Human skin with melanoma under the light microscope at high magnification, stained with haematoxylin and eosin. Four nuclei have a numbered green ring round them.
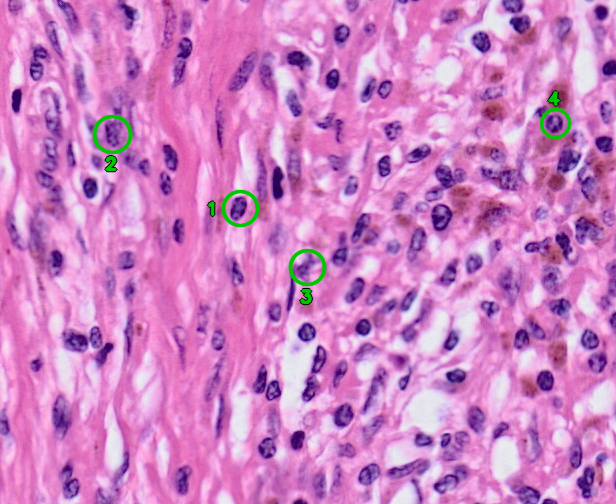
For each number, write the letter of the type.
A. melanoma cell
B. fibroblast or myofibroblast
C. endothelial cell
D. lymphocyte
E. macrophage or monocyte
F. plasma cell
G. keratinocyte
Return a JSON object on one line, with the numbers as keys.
{"1": "D", "2": "F", "3": "B", "4": "F"}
